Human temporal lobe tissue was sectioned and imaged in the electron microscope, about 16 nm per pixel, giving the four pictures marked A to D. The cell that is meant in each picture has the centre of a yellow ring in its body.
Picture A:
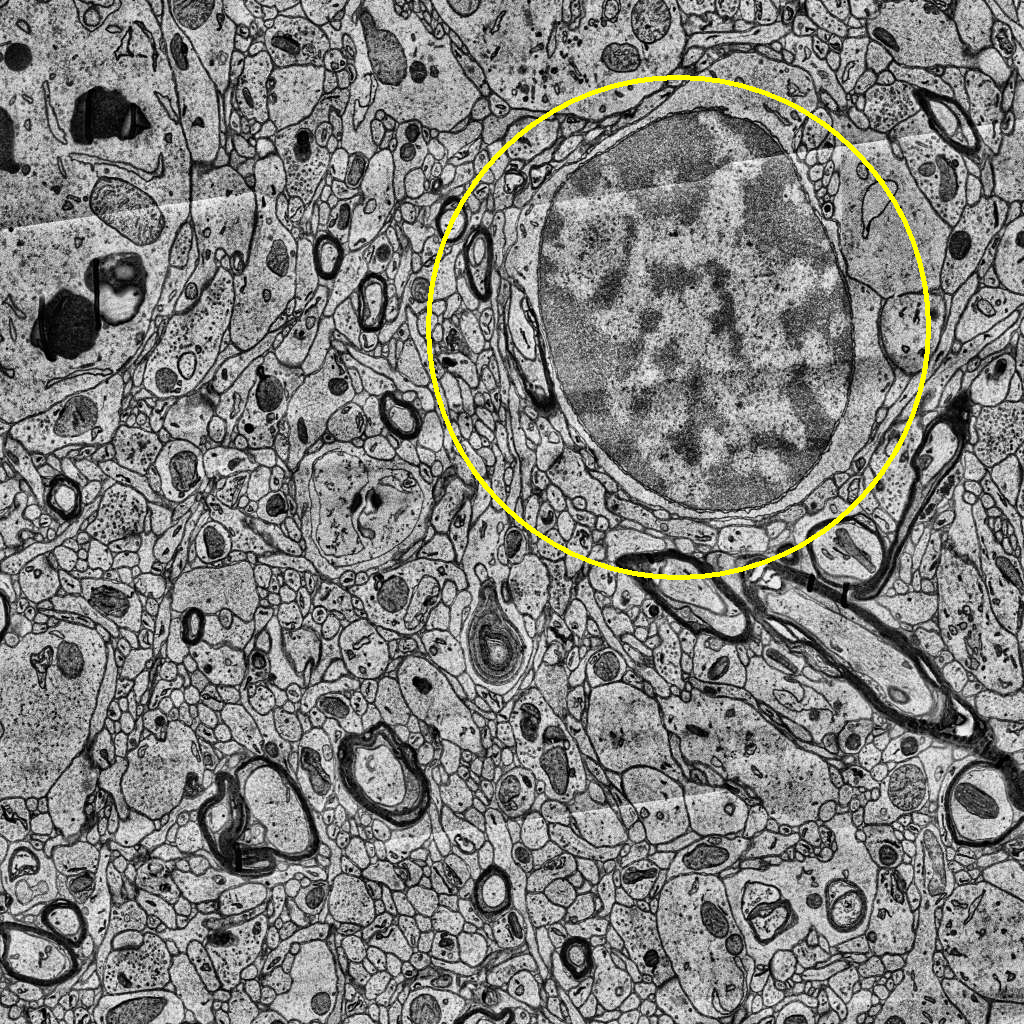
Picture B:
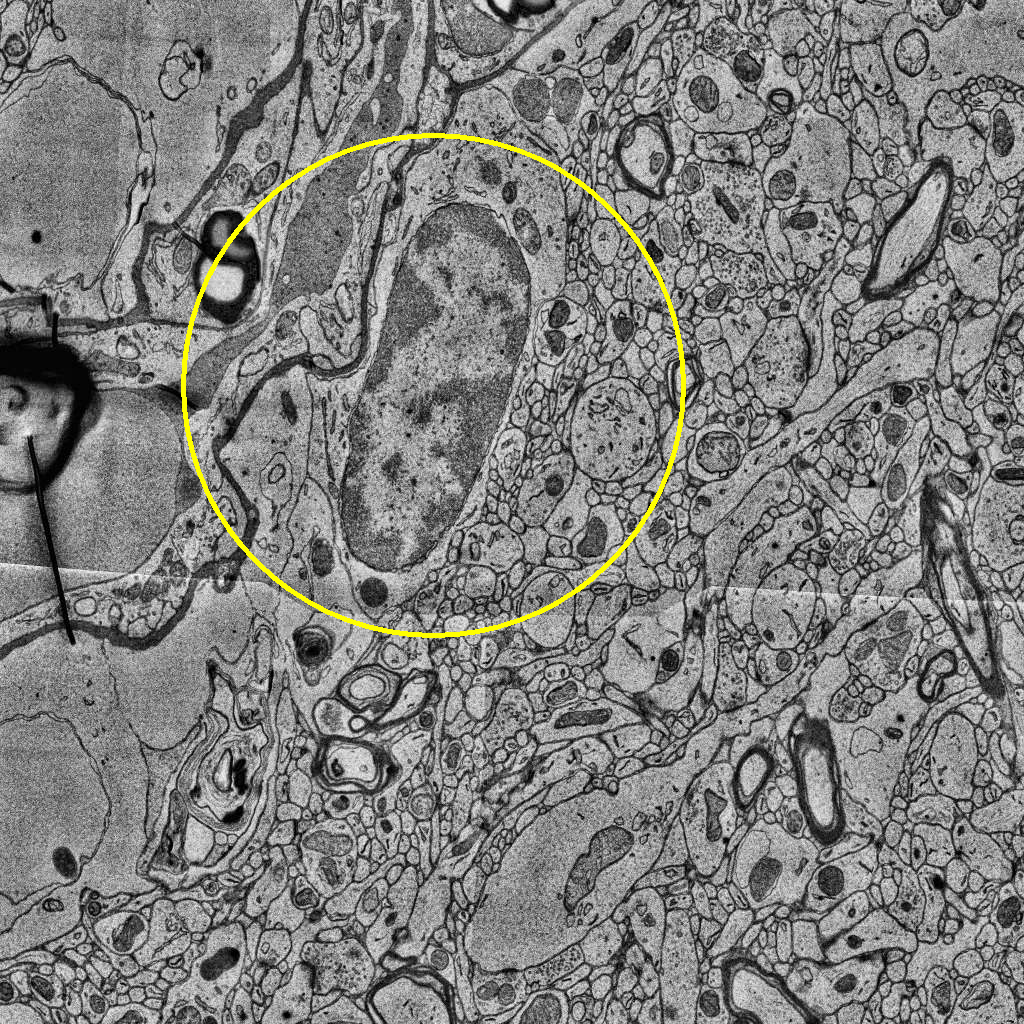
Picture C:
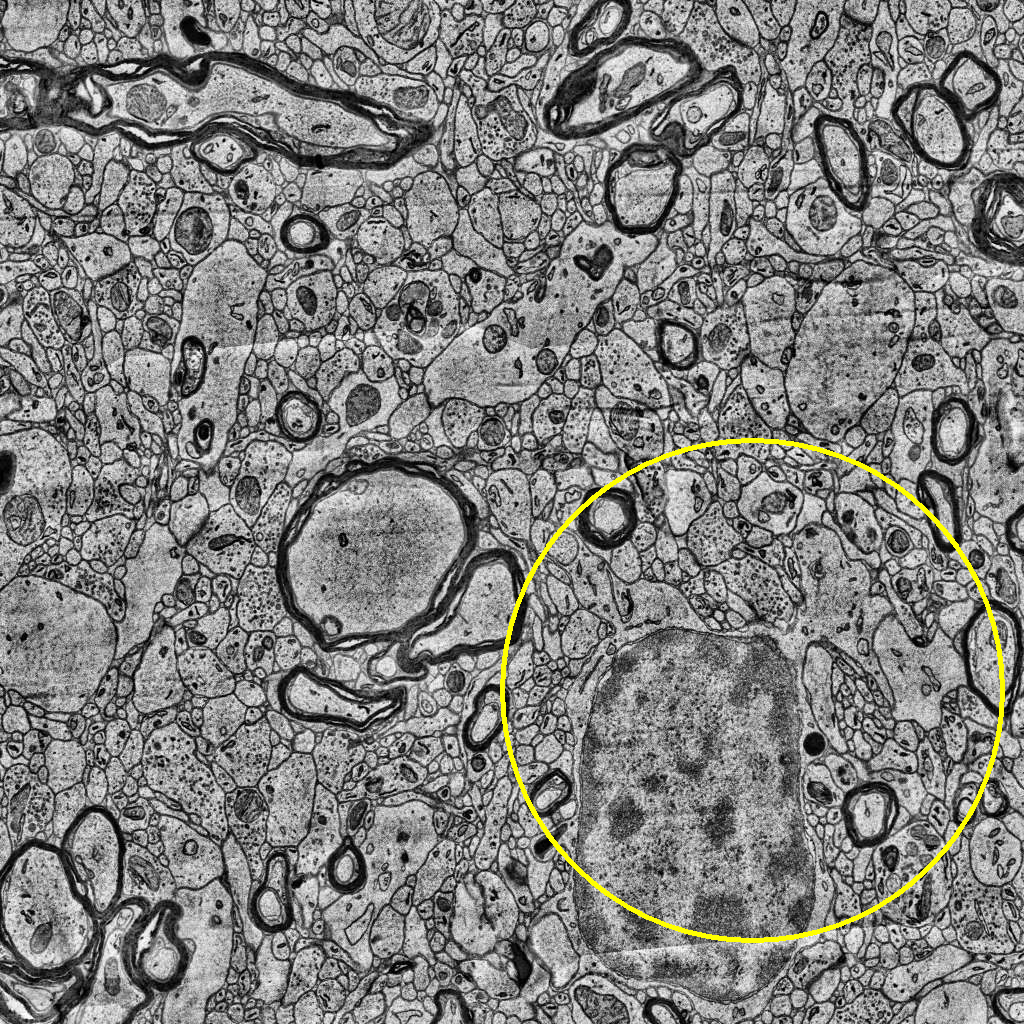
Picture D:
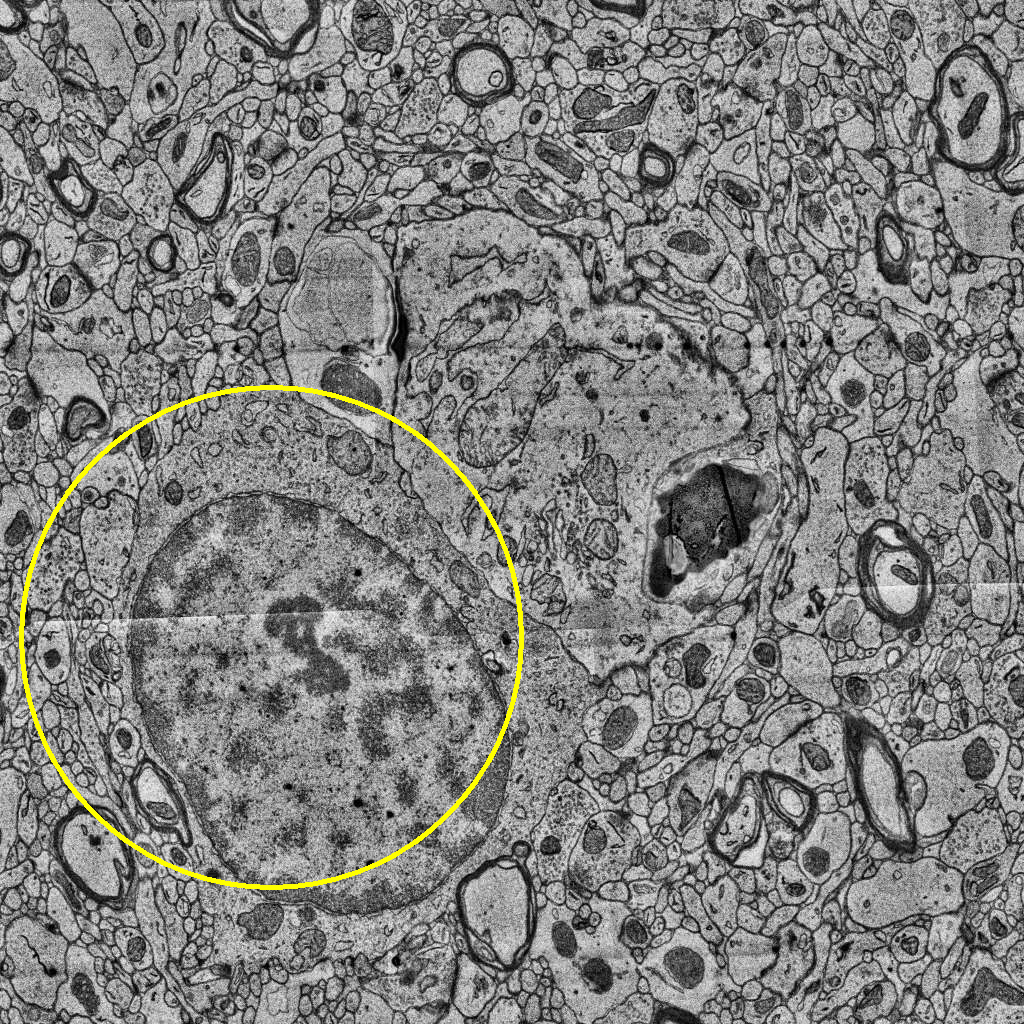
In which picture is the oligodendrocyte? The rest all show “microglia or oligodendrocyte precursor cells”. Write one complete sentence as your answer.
The oligodendrocyte is the one in picture D.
